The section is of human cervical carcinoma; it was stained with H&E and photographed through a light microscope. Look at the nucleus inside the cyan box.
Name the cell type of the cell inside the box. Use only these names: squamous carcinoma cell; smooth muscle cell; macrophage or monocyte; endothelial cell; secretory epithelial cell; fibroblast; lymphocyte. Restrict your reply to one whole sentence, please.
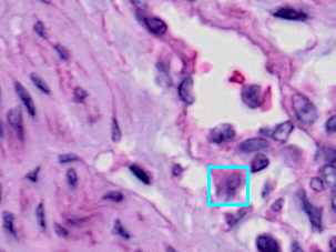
The category to which the cell inside the box belongs is that of a macrophage or monocyte.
